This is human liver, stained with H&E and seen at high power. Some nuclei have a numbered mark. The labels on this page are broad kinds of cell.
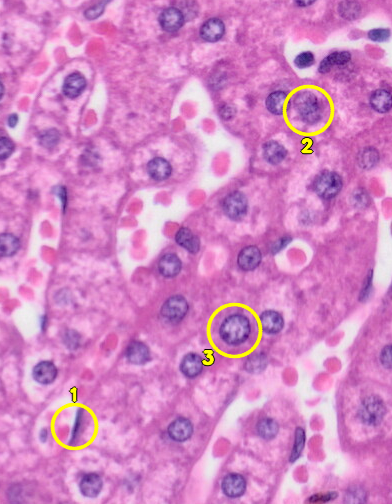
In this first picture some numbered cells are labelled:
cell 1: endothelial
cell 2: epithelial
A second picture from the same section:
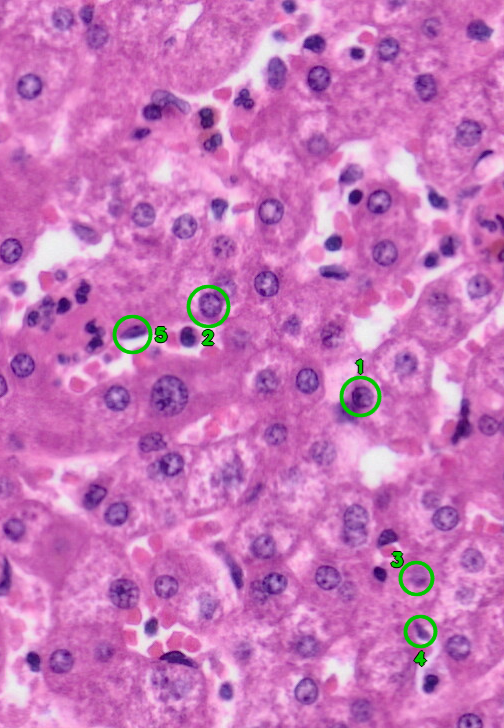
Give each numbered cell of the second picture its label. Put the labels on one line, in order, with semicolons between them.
epithelial; epithelial; epithelial; endothelial; endothelial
